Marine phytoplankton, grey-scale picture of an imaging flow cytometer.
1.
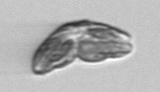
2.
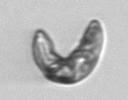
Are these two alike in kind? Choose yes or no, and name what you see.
Yes. Karenia papilionacea.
